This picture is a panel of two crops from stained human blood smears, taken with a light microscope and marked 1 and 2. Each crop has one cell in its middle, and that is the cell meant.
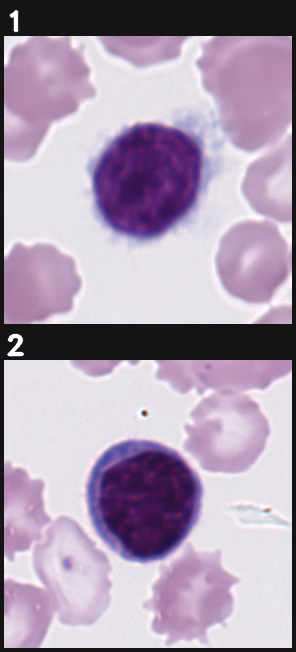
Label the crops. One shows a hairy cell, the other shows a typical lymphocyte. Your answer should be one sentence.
At the centre of crop 1 lies a hairy cell, and at the centre of crop 2 lies a typical lymphocyte.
